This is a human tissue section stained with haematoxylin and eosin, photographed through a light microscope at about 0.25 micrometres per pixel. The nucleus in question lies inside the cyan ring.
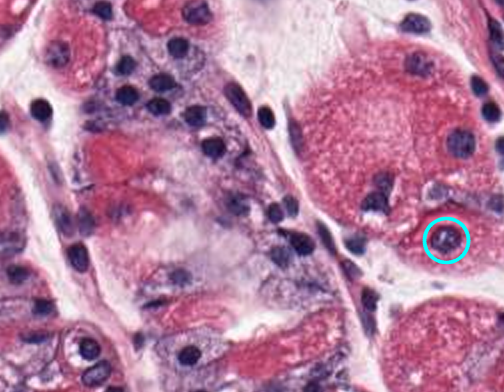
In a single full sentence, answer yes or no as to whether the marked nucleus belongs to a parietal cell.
Yes, it is a parietal cell that holds the marked nucleus.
